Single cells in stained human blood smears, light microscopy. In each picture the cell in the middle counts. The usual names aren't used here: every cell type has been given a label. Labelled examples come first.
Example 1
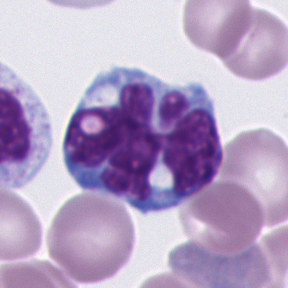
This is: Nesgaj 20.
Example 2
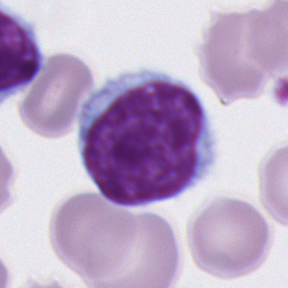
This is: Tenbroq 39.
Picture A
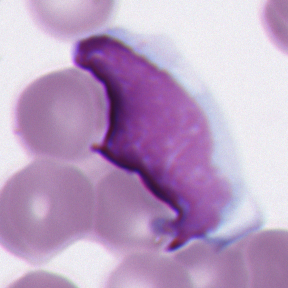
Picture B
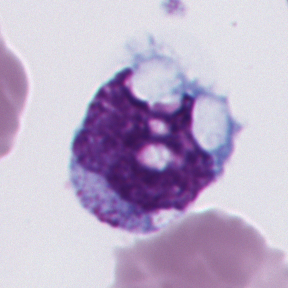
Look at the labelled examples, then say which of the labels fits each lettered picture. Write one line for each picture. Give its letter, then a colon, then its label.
A: Tenbroq 39.
B: Nesgaj 20.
